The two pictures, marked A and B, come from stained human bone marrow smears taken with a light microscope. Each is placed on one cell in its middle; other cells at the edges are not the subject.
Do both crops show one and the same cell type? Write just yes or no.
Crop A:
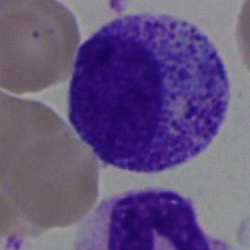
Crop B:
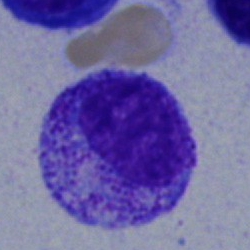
yes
